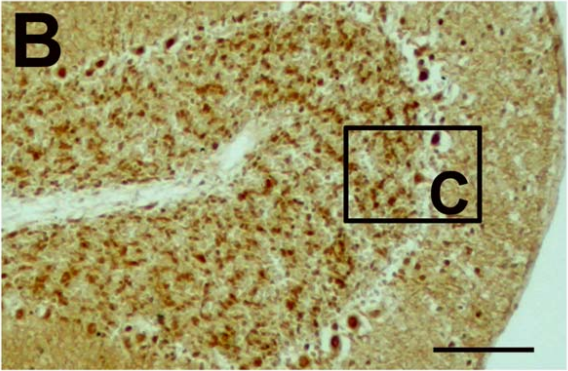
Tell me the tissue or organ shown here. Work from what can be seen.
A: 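A curved folium bounded by a smooth outer surface. A pale central core surrounded by a broad band of densely packed small cells. A paler, finely textured outer band between the cell-dense band and the surface. On this evidence: cerebellum.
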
